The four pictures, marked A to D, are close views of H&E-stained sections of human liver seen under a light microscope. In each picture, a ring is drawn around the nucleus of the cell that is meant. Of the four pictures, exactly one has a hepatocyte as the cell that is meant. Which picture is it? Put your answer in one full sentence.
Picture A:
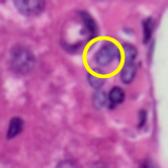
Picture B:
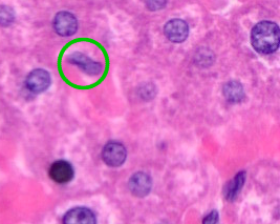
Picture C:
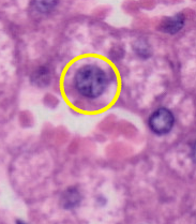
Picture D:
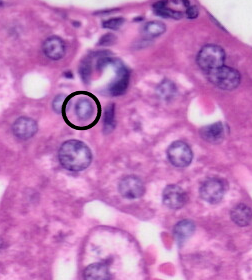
Picture C shows the hepatocyte.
